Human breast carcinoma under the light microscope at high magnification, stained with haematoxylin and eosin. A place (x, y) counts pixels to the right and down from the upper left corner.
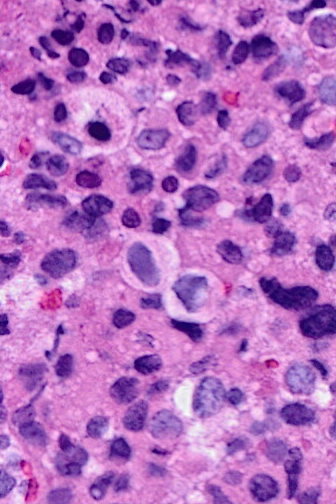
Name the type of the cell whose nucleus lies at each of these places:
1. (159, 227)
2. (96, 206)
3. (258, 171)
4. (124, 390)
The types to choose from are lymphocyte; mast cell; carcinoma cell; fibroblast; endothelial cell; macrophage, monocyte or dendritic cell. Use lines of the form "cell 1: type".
cell 1: lymphocyte
cell 2: carcinoma cell
cell 3: carcinoma cell
cell 4: carcinoma cell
